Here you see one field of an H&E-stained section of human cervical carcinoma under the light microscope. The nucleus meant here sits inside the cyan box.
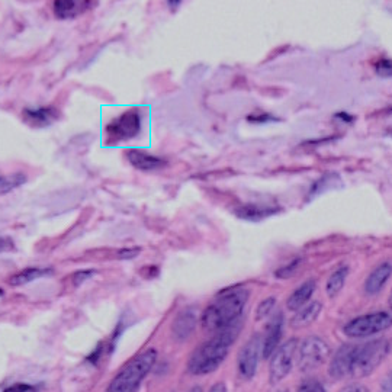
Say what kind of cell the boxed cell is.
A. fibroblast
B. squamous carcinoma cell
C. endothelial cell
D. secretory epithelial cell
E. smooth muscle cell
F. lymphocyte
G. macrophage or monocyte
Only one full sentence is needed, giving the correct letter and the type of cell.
Option G holds, since the boxed cell is a macrophage or monocyte.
